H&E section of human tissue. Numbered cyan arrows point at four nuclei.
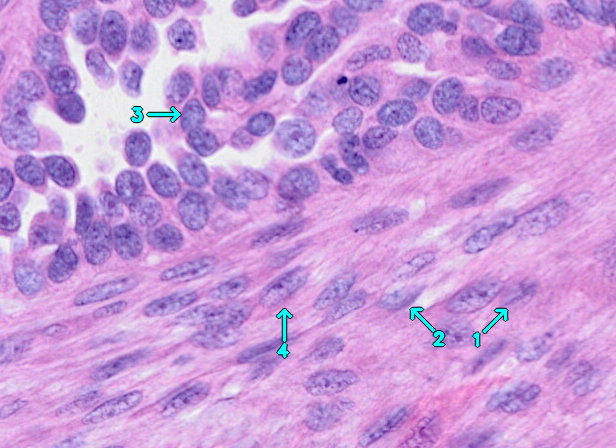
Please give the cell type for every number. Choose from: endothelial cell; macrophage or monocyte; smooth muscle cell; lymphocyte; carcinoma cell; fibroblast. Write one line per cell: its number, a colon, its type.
1: fibroblast
2: fibroblast
3: carcinoma cell
4: fibroblast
